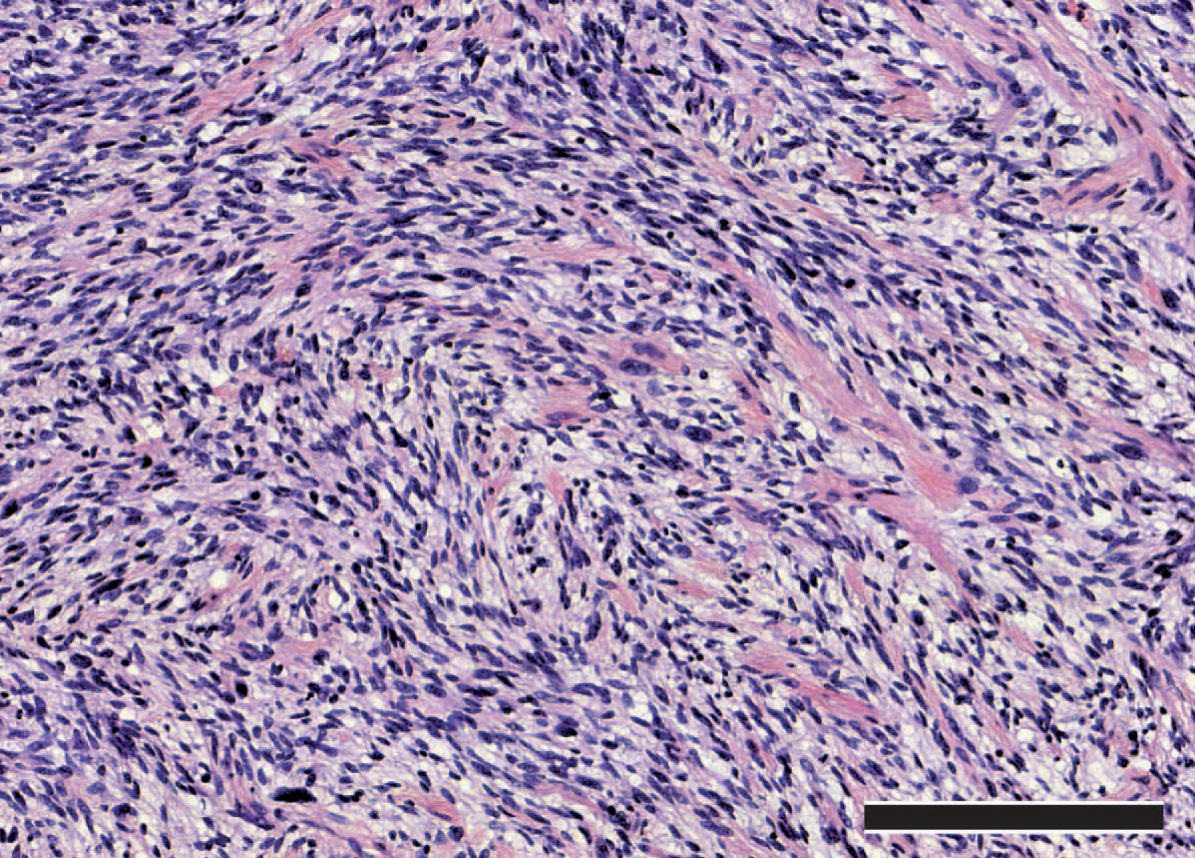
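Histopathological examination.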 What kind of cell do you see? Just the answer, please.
Spindle cells.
